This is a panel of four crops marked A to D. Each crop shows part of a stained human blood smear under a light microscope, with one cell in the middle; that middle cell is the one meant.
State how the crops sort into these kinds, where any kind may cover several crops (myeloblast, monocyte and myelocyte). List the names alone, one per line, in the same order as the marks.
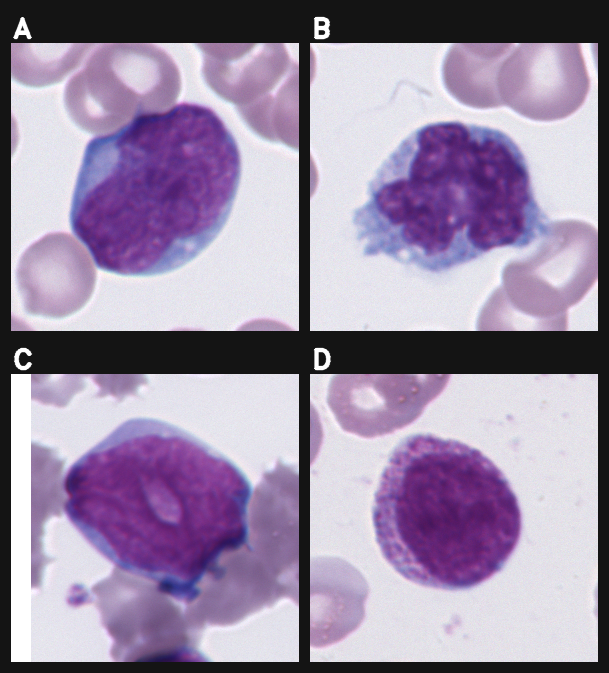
myeloblast
monocyte
myeloblast
myelocyte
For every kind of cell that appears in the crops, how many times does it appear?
myeloblast: 2
monocyte: 1
myelocyte: 1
